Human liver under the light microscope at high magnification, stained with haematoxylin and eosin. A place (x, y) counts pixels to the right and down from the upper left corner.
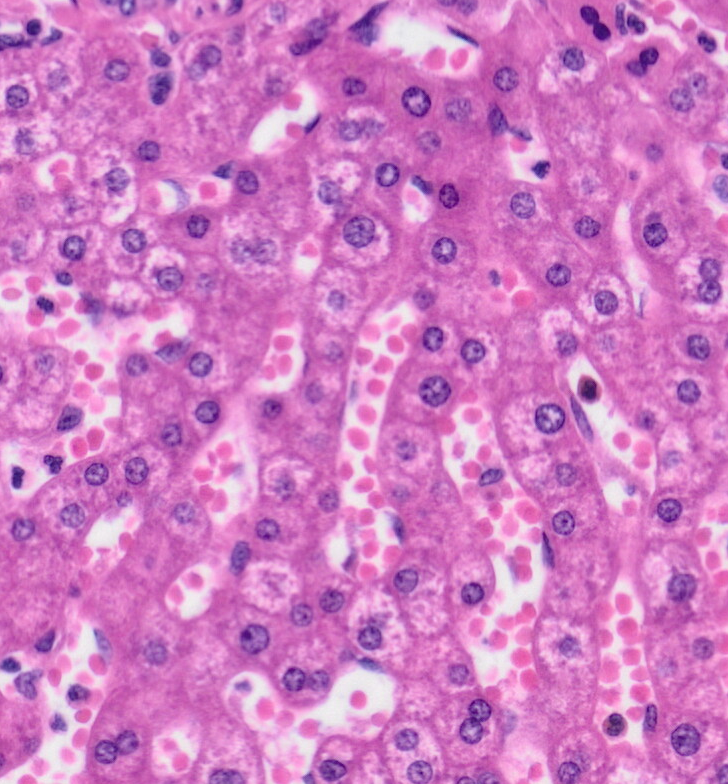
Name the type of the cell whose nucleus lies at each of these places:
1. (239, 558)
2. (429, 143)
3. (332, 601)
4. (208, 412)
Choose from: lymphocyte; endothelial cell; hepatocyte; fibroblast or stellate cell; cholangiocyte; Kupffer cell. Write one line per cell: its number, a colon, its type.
1: fibroblast or stellate cell
2: hepatocyte
3: hepatocyte
4: hepatocyte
